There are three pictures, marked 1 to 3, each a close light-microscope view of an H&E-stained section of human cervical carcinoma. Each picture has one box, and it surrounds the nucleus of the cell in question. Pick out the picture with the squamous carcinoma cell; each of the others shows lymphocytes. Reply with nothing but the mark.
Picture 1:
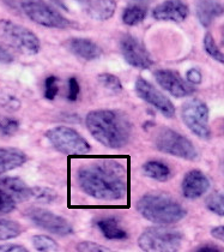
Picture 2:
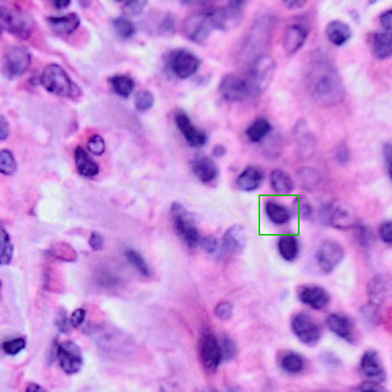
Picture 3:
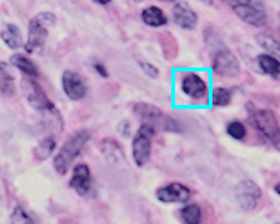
1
